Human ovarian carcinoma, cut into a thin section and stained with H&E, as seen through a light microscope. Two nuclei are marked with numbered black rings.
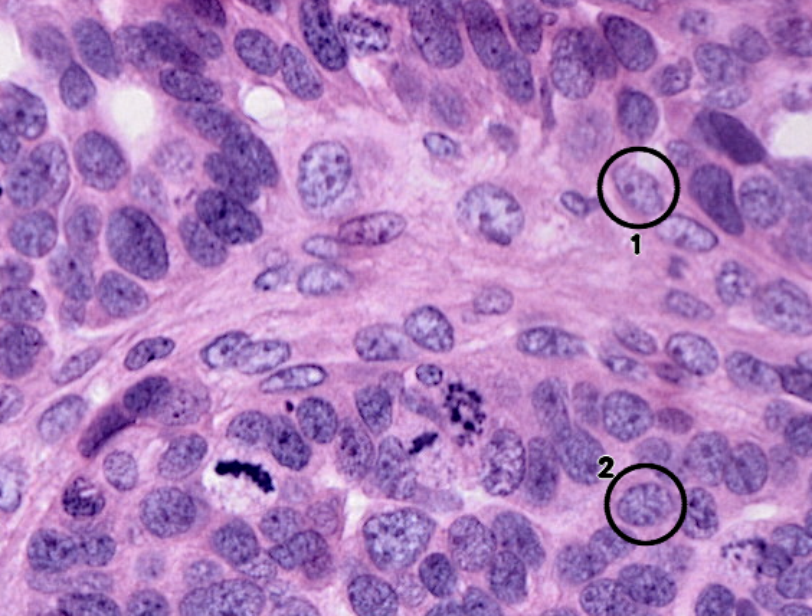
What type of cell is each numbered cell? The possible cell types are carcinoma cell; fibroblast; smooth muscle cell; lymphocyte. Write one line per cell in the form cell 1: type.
cell 1: fibroblast
cell 2: carcinoma cell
